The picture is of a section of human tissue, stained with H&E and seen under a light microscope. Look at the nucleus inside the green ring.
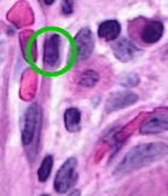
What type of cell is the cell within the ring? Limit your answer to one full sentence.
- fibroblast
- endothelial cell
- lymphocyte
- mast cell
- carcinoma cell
In short, the cell within the ring on this section is an endothelial cell.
